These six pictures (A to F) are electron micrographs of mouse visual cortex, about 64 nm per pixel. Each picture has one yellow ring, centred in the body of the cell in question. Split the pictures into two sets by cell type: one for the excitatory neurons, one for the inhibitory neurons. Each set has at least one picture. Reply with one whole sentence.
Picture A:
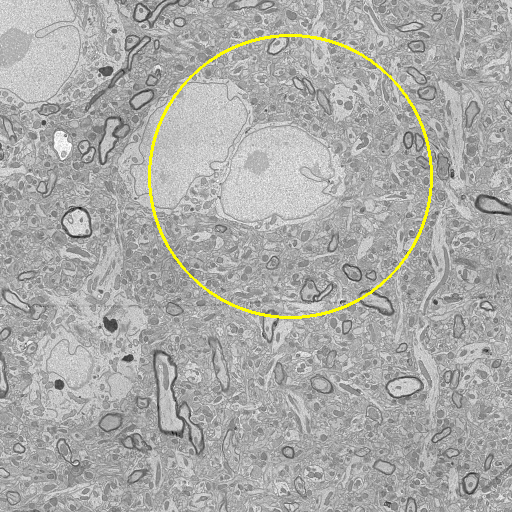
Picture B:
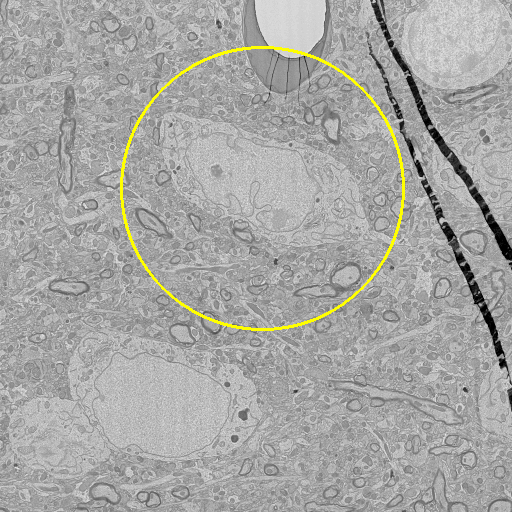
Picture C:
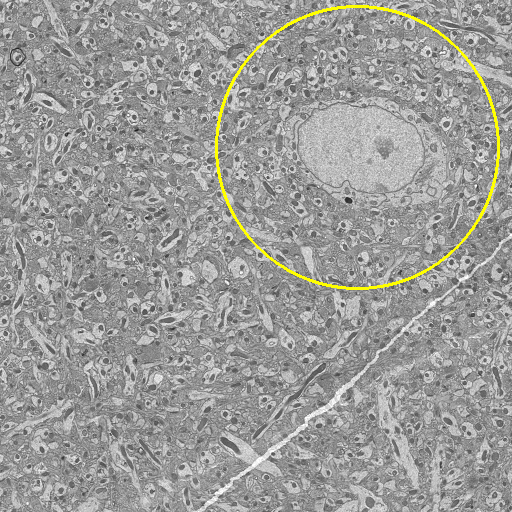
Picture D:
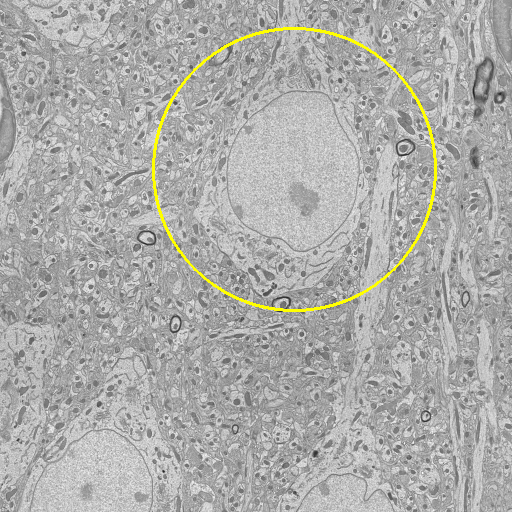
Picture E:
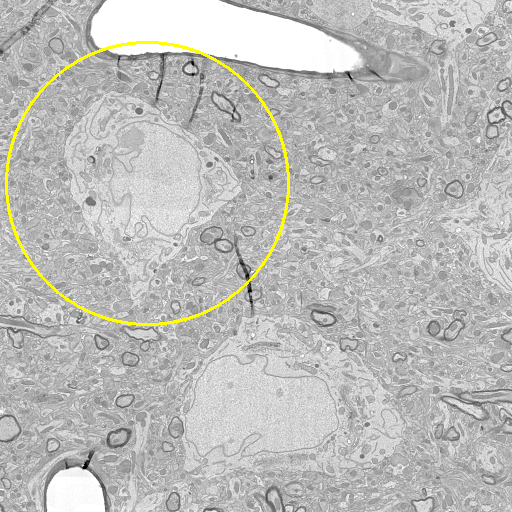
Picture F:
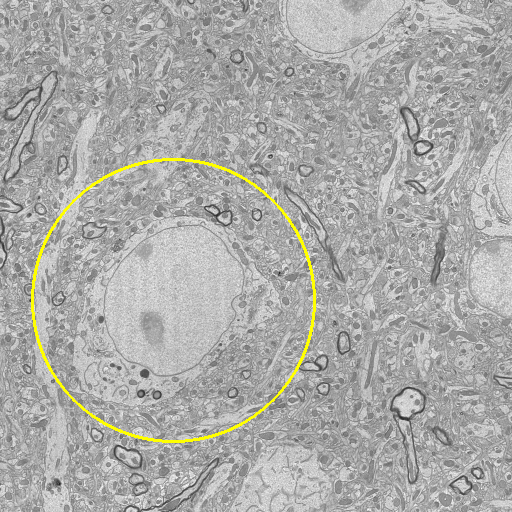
Pictures D and F show excitatory neurons, and pictures A, B, C and E show inhibitory neurons.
